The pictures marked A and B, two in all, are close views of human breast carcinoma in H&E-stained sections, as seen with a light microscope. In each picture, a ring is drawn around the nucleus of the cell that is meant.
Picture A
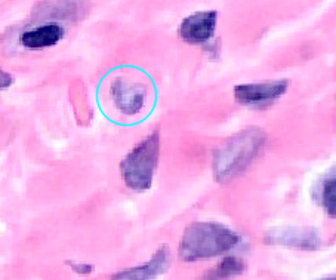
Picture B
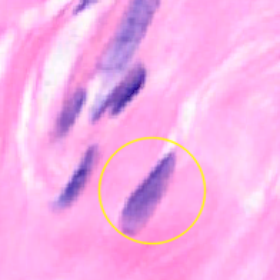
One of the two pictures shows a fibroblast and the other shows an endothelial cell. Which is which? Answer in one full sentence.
Picture A shows an endothelial cell and picture B shows a fibroblast.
